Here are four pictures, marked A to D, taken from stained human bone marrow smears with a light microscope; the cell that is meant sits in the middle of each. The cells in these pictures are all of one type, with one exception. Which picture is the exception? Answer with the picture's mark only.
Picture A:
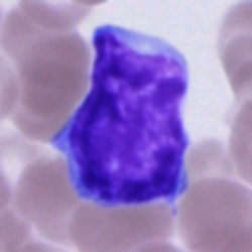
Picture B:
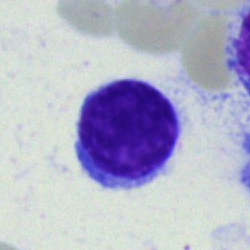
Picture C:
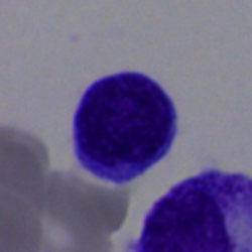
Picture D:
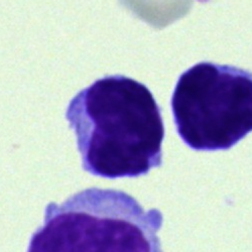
A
